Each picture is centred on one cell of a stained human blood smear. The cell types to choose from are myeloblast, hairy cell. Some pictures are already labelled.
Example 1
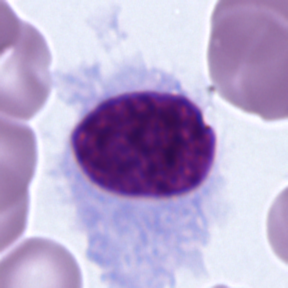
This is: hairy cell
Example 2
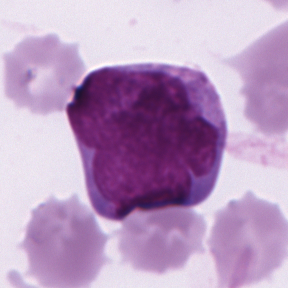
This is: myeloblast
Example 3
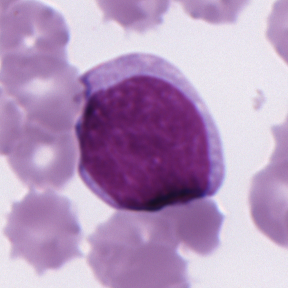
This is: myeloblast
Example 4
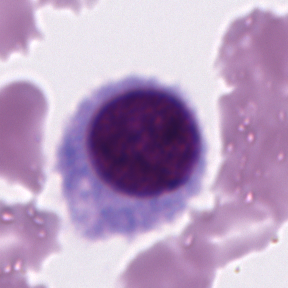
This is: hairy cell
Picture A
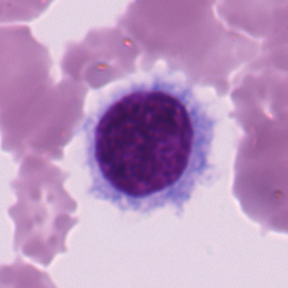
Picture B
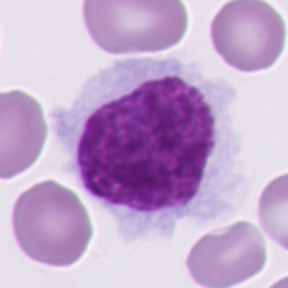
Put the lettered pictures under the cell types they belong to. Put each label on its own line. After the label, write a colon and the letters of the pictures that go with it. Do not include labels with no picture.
hairy cell: A, B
